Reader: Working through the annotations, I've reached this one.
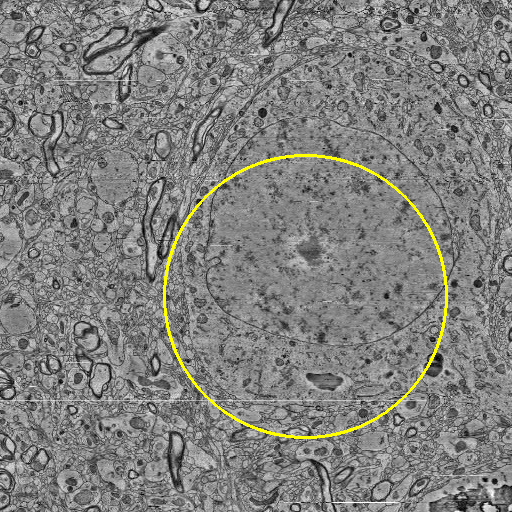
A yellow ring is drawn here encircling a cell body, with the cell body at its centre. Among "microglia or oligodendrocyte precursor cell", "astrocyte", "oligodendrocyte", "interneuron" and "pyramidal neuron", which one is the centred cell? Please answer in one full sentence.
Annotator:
The cell body at the centre of the yellow ring in this image belongs to a pyramidal neuron.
